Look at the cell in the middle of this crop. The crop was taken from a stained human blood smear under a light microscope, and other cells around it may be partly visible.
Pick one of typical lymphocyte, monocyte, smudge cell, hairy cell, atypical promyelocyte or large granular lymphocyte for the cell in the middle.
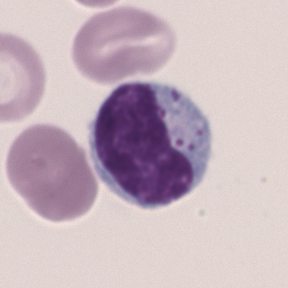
large granular lymphocyte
